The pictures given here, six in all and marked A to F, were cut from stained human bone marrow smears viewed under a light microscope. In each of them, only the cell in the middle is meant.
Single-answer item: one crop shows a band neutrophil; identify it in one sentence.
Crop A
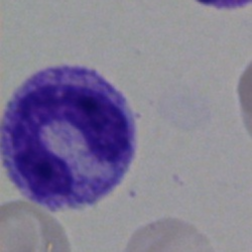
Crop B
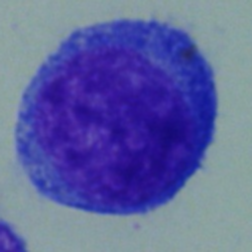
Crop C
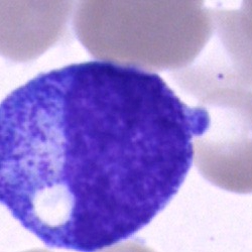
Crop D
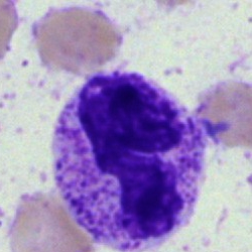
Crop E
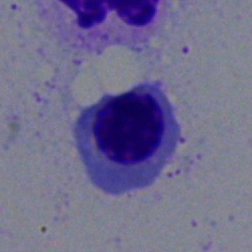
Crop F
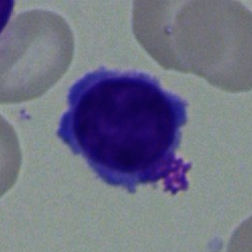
The correct choice is crop A, the one showing a band neutrophil.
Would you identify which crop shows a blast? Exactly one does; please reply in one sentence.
Crop B is the right one; it is the crop showing a blast.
